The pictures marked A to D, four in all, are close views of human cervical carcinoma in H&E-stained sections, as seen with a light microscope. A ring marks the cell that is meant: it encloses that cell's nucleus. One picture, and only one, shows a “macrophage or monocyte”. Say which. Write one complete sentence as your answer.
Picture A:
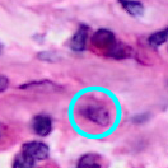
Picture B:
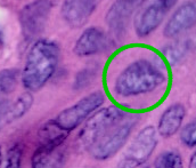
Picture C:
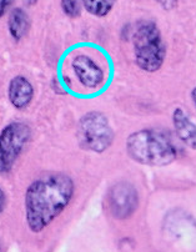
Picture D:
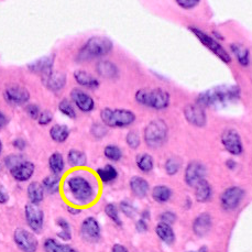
The cell in picture A is the “macrophage or monocyte”.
